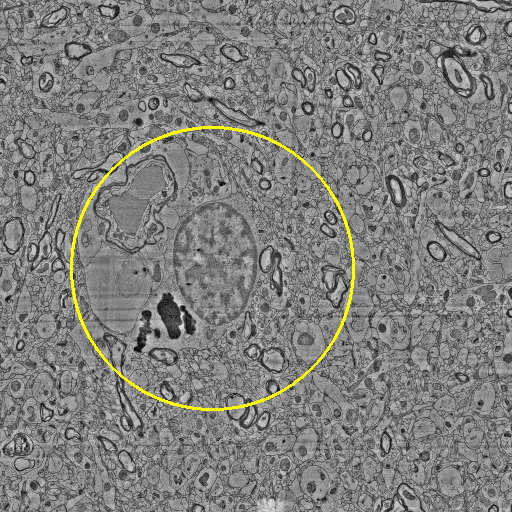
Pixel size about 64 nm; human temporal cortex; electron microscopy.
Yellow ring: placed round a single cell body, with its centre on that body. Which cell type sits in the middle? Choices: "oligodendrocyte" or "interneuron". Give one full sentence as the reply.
It is an oligodendrocyte whose cell body sits at the centre of the yellow ring.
